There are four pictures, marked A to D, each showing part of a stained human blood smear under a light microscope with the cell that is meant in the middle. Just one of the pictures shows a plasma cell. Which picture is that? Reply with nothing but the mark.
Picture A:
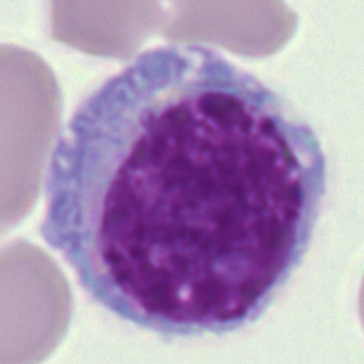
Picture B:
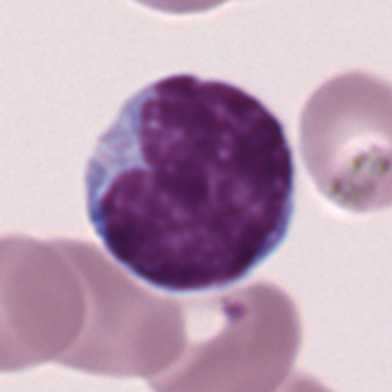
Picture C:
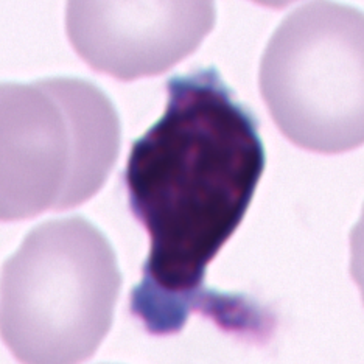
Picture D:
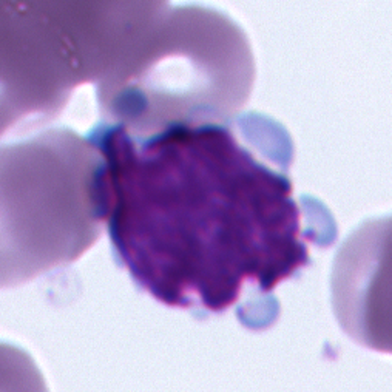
A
